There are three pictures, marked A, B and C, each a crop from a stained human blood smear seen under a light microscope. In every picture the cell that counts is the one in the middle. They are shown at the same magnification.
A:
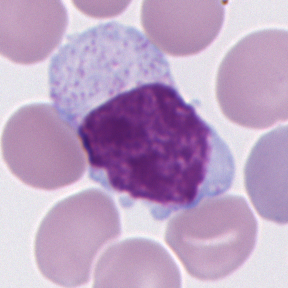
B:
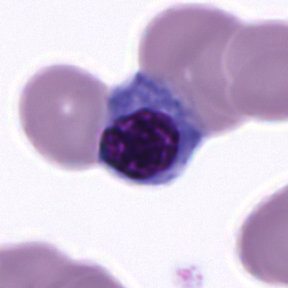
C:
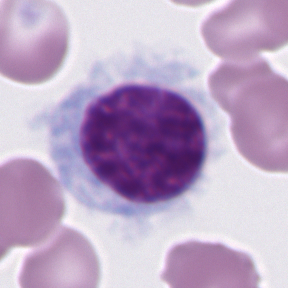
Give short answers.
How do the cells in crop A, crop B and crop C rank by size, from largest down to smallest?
A, C, B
